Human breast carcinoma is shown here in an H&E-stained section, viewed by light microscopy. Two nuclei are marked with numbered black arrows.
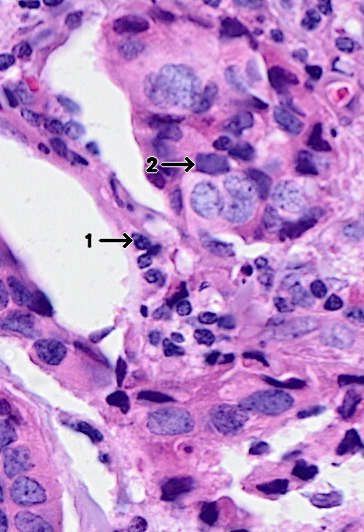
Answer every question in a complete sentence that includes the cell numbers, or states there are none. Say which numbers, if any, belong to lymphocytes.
Cell 1 is a lymphocyte, whereas each of the other numbered cells is not.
